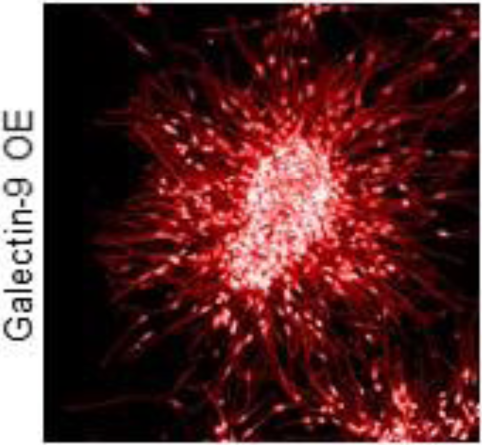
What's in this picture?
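From all around the cluster, numerous elongated cells with thin red filamentous processes radiate outward, each carrying a small bright nucleus. These spreading cells are crowded and form a broad halo that reaches well beyond the cluster edge, and further scattered cells lie toward the lower right corner. The surrounding background is dark.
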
